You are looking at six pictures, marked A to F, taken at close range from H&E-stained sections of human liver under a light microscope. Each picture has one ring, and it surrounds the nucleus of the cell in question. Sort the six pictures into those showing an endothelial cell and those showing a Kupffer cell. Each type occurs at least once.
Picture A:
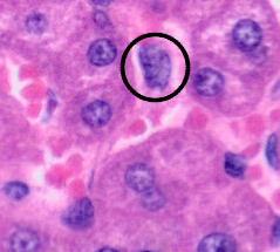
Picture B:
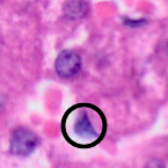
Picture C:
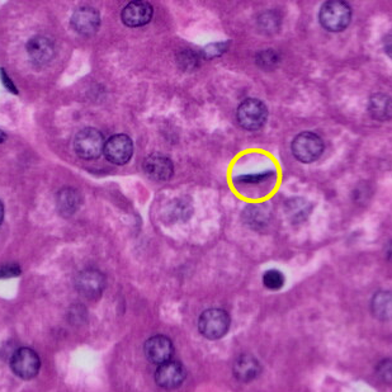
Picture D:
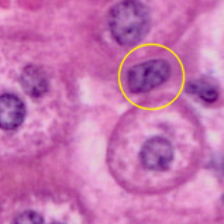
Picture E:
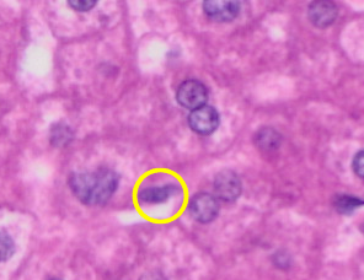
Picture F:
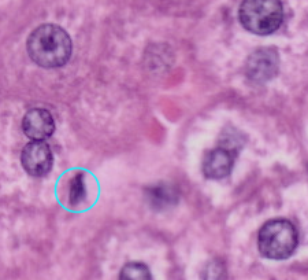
A: Kupffer cell
B: endothelial cell
C: endothelial cell
D: Kupffer cell
E: Kupffer cell
F: endothelial cell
